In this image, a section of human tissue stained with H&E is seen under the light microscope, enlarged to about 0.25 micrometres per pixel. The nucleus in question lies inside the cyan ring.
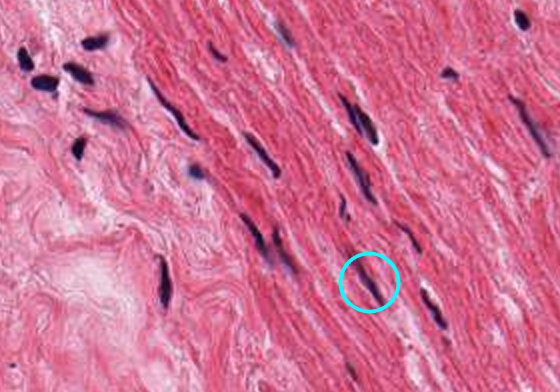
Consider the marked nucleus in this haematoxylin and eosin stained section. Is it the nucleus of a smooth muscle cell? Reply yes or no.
yes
